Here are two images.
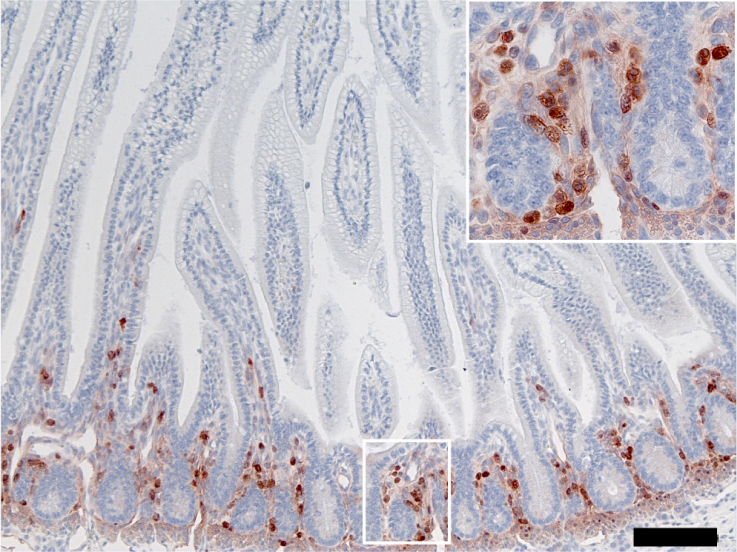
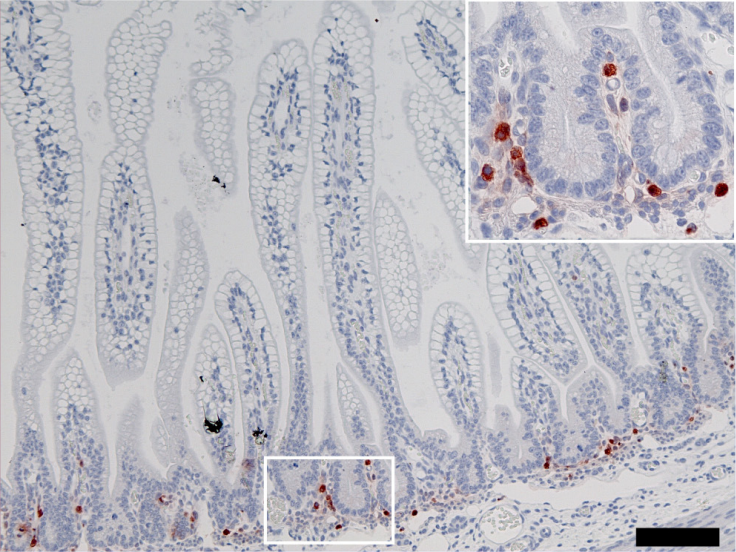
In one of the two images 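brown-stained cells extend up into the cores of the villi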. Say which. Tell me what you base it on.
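First image: many brown cells along the lower cores of several villi and dense between crypts. Second image: few brown cells, confined to the base near the crypts, villi nearly clear. The answer: the first image.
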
